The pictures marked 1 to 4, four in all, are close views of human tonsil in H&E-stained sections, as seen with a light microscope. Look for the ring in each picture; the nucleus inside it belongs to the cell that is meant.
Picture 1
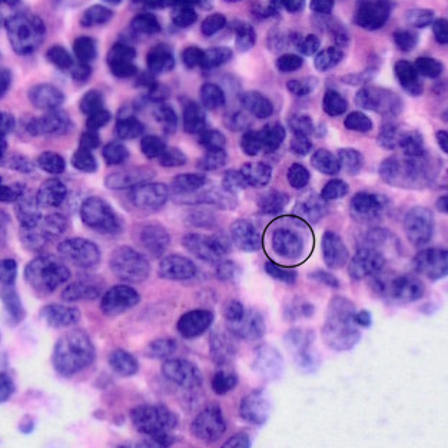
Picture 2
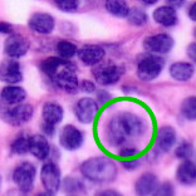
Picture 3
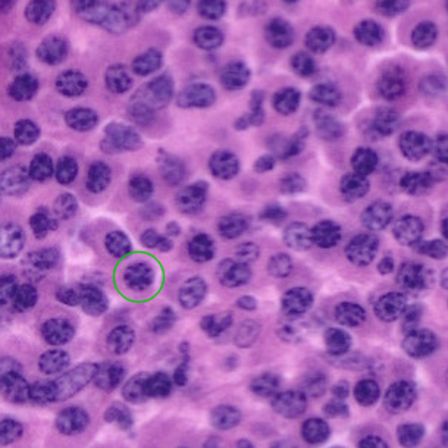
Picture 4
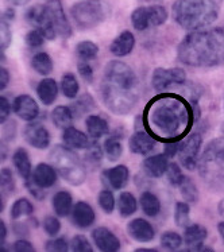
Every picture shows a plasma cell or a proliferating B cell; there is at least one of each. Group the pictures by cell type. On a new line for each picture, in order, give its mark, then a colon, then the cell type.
1: proliferating B cell
2: proliferating B cell
3: plasma cell
4: proliferating B cell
